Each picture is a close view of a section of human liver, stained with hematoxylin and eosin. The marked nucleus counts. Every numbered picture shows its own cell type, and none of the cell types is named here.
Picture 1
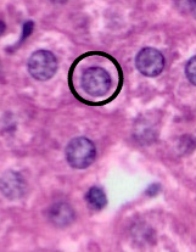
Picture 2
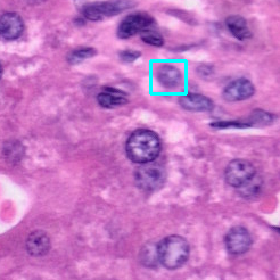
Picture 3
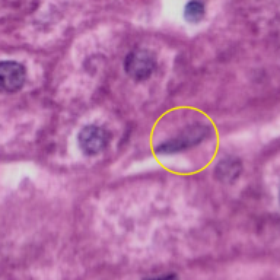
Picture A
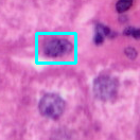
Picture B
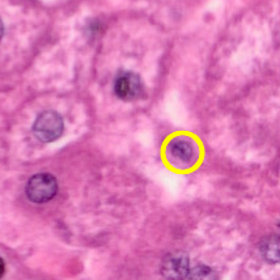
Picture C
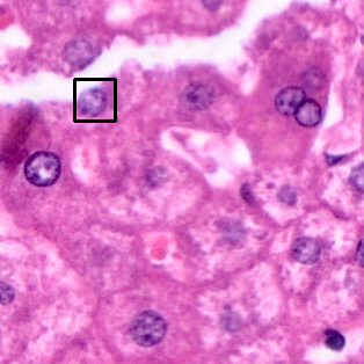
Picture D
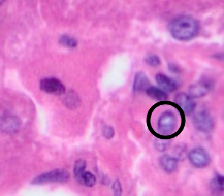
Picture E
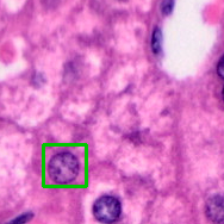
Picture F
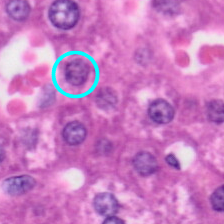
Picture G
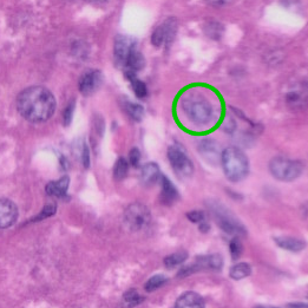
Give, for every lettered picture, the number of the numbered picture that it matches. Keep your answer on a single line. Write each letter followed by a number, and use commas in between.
A 3, B 3, C 1, D 2, E 1, F 1, G 2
